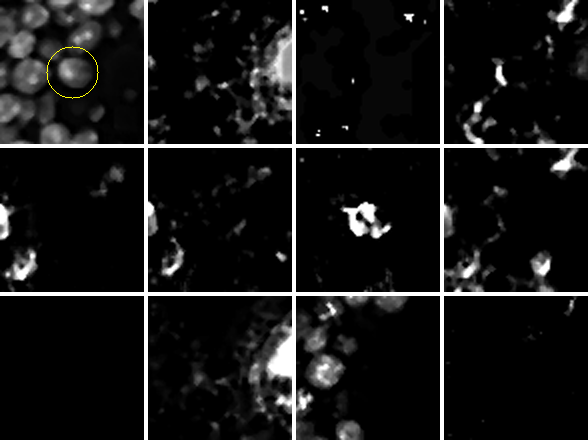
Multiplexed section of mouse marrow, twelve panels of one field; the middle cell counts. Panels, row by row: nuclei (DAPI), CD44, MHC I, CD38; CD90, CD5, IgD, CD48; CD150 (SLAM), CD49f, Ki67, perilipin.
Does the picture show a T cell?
No, it shows a B cell.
